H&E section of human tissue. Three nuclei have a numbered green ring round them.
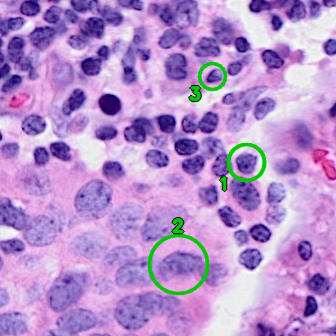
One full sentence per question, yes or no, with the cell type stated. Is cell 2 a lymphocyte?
No, the cell bearing number 2 is not a lymphocyte but a carcinoma cell.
